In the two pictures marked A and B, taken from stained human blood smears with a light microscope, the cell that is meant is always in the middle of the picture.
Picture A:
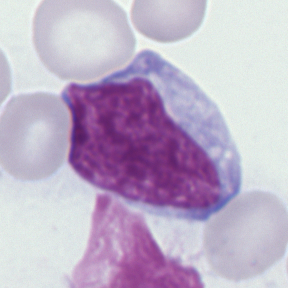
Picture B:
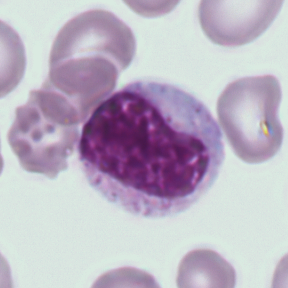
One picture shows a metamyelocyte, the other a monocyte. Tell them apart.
A: monocyte
B: metamyelocyte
